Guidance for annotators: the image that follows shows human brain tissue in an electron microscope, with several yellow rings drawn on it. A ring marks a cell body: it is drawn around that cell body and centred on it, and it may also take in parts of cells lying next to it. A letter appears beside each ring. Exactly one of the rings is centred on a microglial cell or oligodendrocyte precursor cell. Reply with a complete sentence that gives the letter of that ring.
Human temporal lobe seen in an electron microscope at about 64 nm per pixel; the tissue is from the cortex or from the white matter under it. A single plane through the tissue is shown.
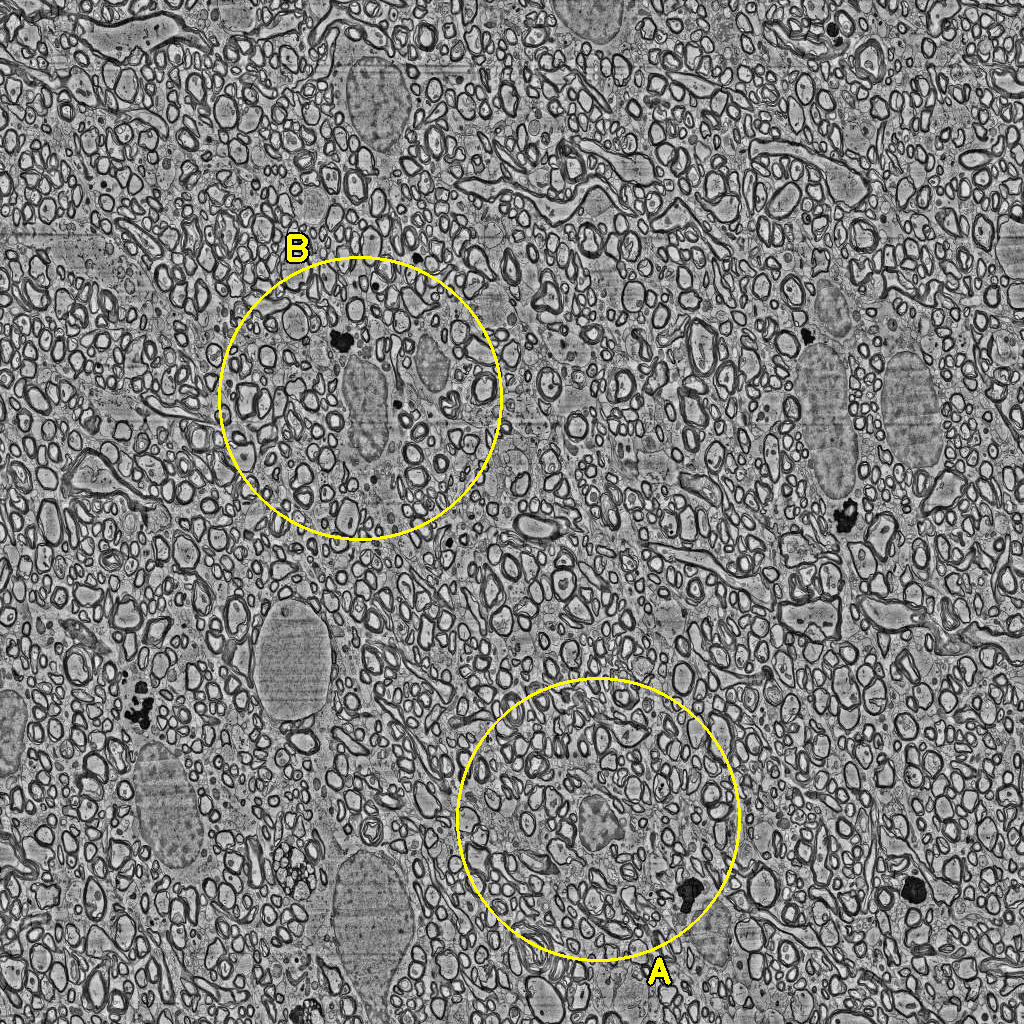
The ring lettered A is centred on that cell.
